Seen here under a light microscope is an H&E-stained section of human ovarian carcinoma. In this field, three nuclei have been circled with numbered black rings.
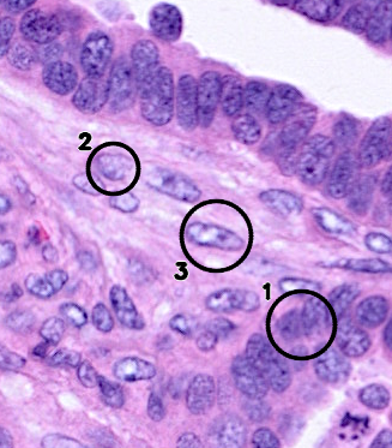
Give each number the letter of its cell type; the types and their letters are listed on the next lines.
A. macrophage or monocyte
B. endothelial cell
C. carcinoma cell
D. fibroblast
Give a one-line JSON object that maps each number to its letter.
{"1": "C", "2": "D", "3": "D"}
